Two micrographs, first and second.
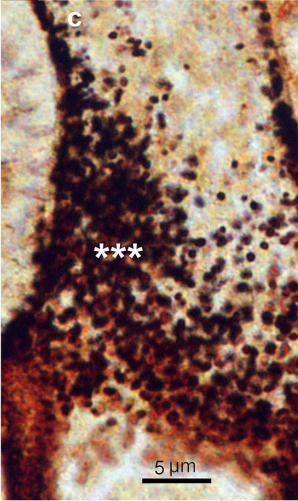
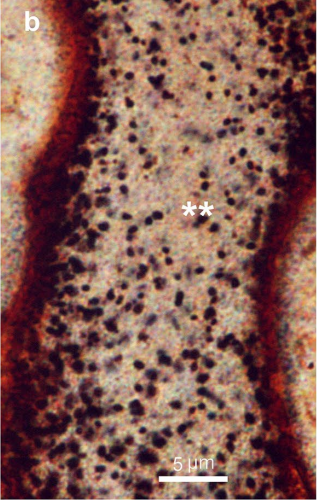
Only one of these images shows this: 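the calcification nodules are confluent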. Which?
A: The first image.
